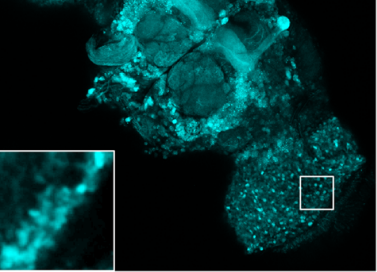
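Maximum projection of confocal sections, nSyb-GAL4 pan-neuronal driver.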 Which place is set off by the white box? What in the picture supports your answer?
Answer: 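The box sits in a large lobe at the lateral side of the brain. The lobe is packed with many small bright spots.
Conclusion: optic lobe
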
